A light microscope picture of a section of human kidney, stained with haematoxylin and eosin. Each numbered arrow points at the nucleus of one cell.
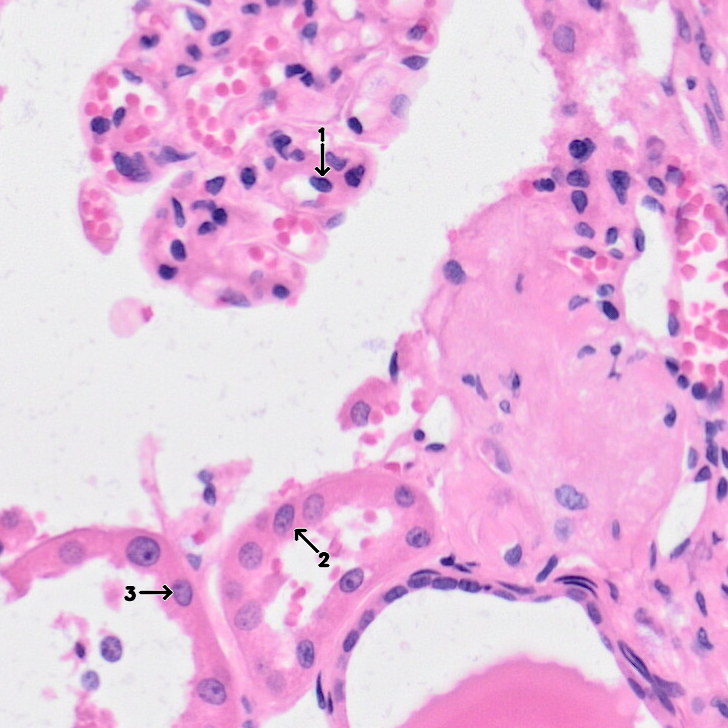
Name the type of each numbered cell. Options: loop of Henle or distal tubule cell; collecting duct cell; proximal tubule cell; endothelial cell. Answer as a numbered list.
1. endothelial cell
2. proximal tubule cell
3. proximal tubule cell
